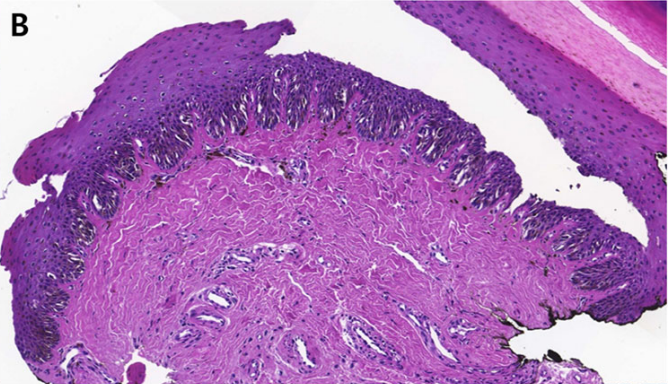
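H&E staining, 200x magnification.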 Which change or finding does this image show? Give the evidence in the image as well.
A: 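Many cells with clear halos line the basal layer of the squamous epithelium. Brown pigment granules lie along the epithelial base. The answer: melanocyte proliferation.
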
